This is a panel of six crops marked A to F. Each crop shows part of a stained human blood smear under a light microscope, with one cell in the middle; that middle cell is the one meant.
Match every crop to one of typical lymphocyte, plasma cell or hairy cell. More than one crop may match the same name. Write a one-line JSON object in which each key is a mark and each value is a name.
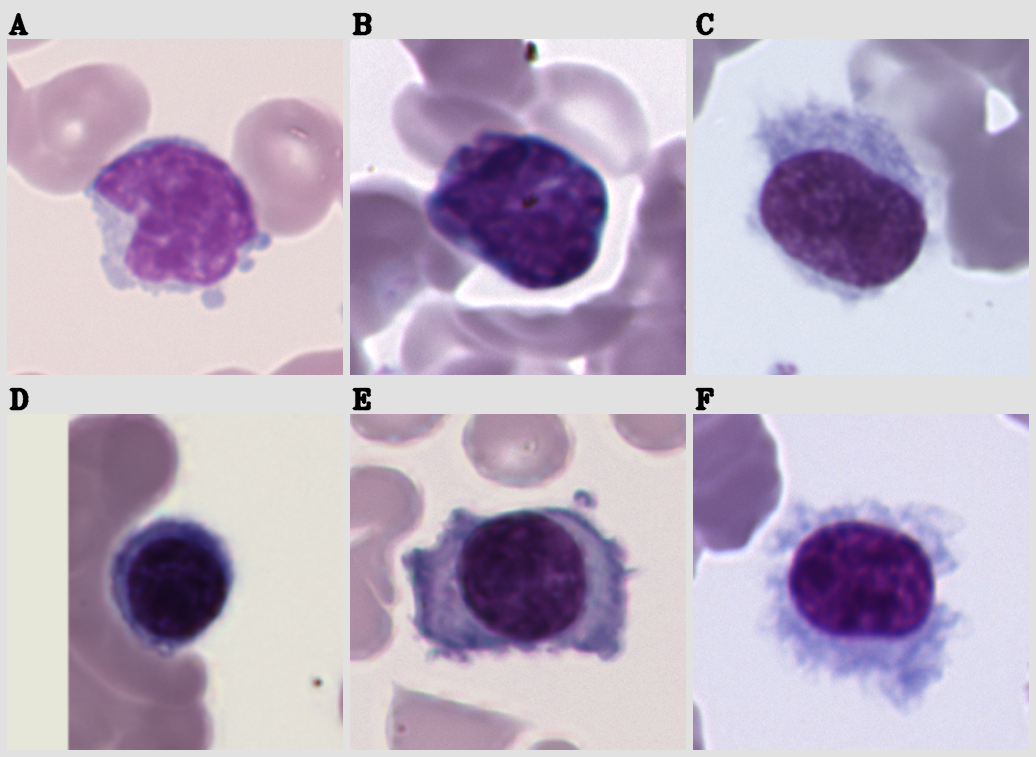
{"A": "typical lymphocyte", "B": "typical lymphocyte", "C": "hairy cell", "D": "plasma cell", "E": "plasma cell", "F": "hairy cell"}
